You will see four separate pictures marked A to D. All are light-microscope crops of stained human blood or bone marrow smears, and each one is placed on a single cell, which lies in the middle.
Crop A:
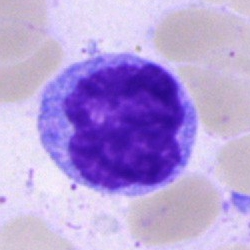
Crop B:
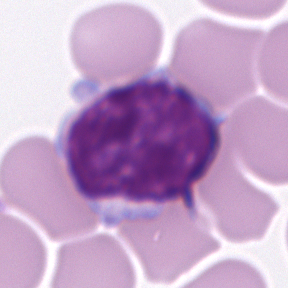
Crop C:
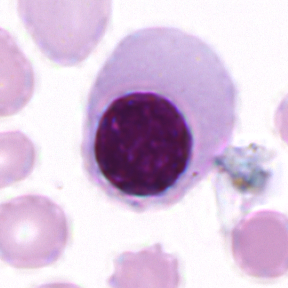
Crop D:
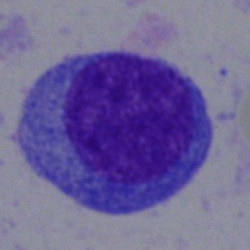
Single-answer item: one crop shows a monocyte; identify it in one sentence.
Crop A matches the request, showing a monocyte.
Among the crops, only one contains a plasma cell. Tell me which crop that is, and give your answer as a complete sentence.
Here the crop that shows a plasma cell is crop D.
